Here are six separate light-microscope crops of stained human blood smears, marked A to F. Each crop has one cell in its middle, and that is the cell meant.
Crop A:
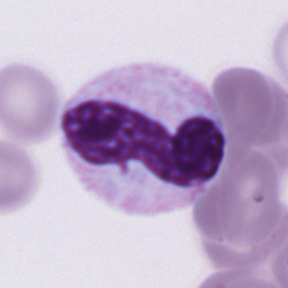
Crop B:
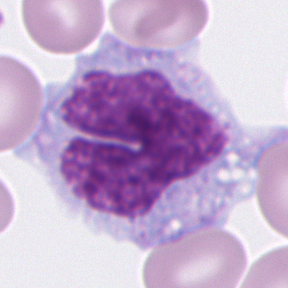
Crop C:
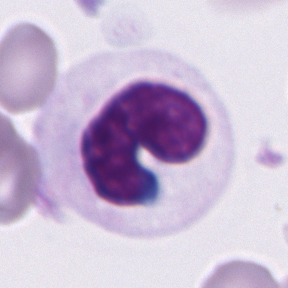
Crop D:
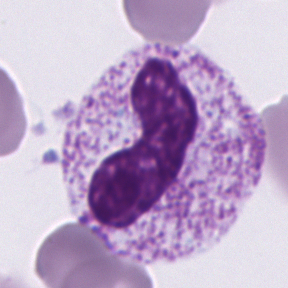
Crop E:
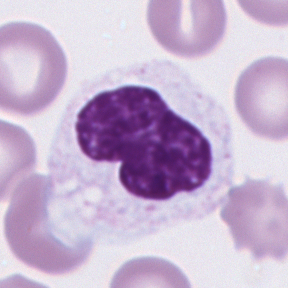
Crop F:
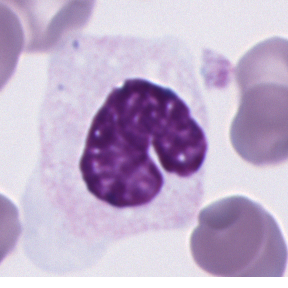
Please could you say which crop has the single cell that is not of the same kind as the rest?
B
